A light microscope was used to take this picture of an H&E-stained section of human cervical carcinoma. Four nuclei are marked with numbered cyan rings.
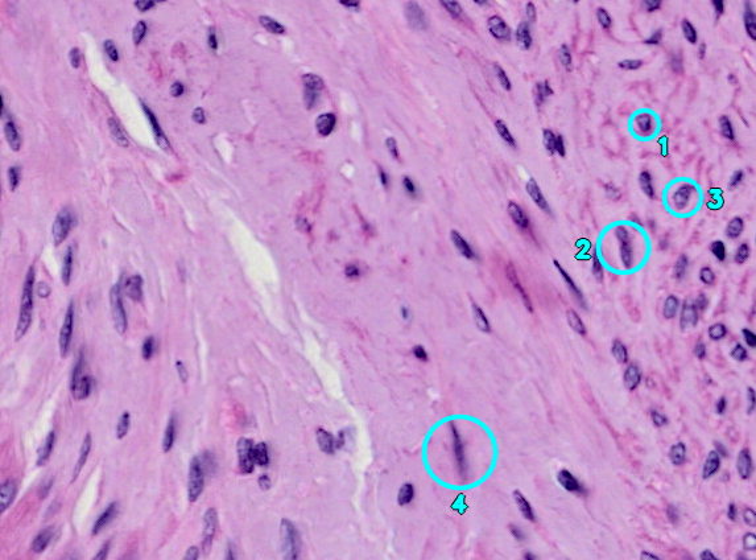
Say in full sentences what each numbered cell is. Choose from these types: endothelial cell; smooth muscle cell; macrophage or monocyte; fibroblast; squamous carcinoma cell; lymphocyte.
Cells 1, 2 and 3 are smooth muscle cells. Cell 4 is a fibroblast.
